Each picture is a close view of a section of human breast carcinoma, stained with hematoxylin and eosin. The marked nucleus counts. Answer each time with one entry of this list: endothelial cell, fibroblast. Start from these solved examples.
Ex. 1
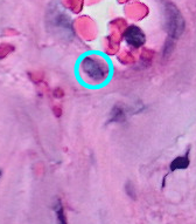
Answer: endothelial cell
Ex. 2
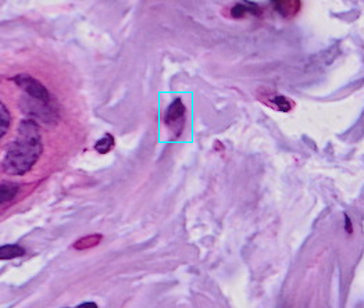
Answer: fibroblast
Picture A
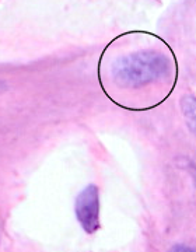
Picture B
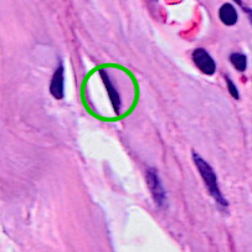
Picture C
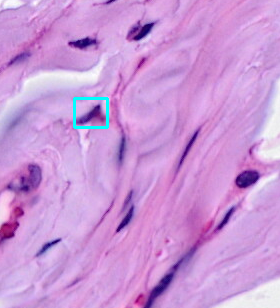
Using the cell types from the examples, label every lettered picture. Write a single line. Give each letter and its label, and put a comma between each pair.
A fibroblast, B fibroblast, C fibroblast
